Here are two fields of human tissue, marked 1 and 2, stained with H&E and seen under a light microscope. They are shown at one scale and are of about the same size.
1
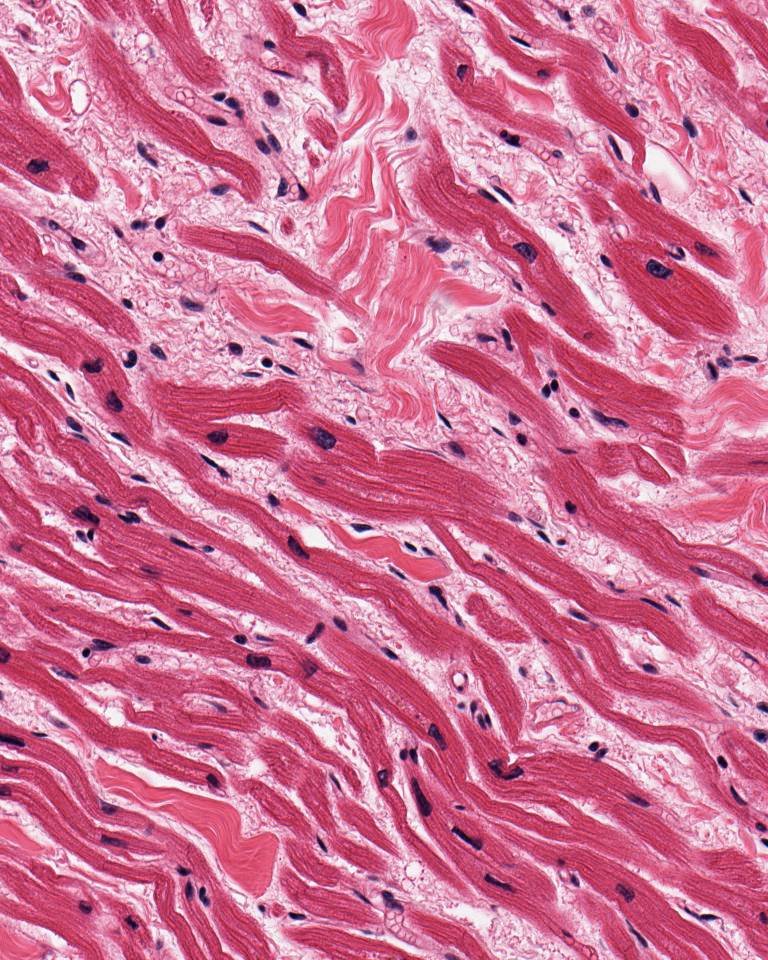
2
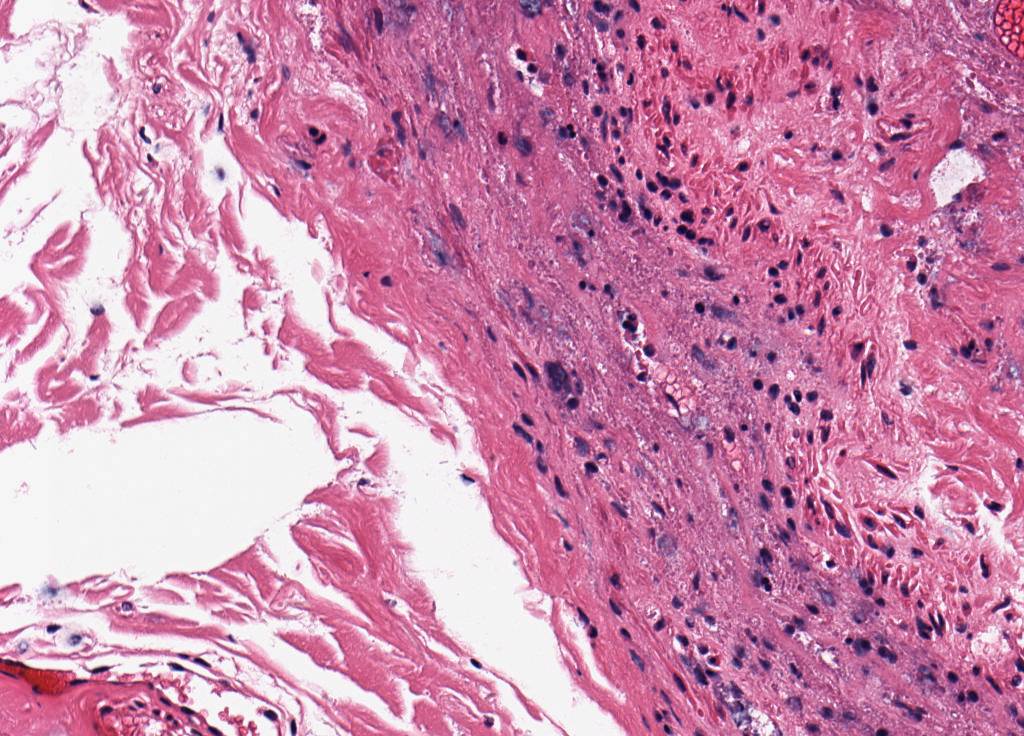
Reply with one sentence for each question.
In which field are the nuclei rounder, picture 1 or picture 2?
It is picture 2 whose nuclei are the rounder.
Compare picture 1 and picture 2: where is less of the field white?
It is picture 1 that stained tissue fills more completely.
